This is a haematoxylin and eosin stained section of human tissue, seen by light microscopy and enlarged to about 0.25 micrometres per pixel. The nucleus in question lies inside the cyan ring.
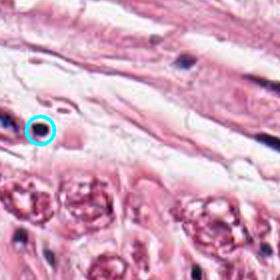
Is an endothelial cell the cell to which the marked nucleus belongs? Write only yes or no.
no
